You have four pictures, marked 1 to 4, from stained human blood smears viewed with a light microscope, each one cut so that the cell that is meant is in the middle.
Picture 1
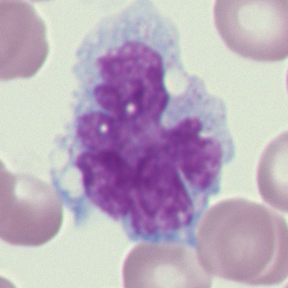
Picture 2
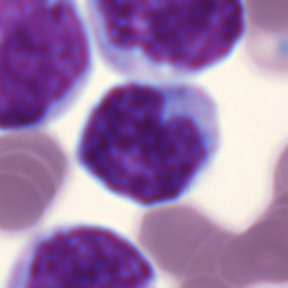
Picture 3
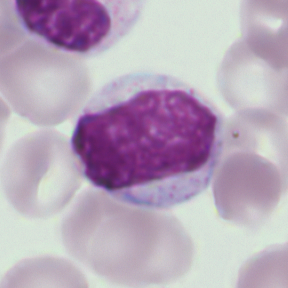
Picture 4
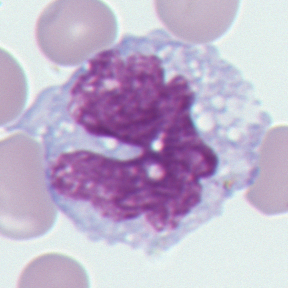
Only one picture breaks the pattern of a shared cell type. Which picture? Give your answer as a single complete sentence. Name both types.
Unlike the rest, which show monocytes, picture 3 shows a metamyelocyte.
